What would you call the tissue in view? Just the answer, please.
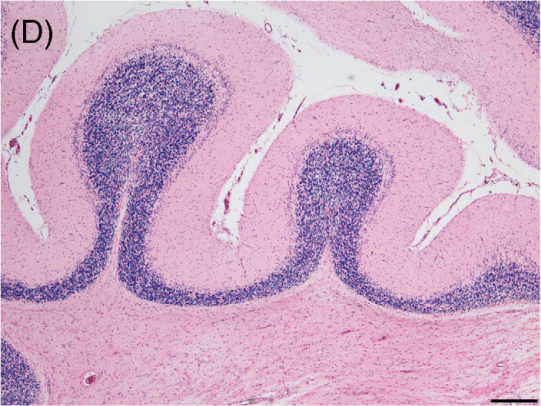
cerebellum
